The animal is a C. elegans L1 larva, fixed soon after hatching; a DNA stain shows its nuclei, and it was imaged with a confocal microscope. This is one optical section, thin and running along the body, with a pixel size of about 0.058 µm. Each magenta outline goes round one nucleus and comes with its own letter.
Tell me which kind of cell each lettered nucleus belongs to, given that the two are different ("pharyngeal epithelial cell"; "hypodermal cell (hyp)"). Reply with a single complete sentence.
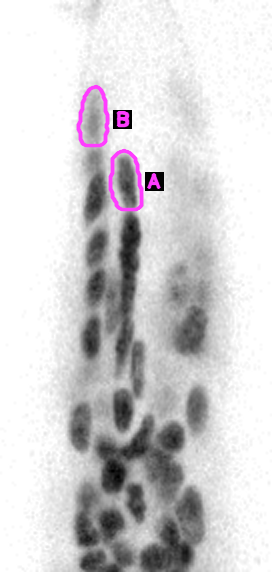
A is the nucleus of a pharyngeal epithelial cell; B is the nucleus of a hypodermal cell (hyp).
